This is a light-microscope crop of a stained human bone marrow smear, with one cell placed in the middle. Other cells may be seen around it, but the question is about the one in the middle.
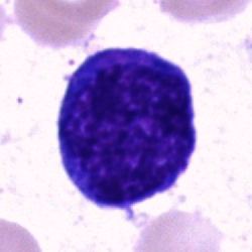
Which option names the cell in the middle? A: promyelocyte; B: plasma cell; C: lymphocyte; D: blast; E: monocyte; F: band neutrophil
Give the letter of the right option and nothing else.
A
